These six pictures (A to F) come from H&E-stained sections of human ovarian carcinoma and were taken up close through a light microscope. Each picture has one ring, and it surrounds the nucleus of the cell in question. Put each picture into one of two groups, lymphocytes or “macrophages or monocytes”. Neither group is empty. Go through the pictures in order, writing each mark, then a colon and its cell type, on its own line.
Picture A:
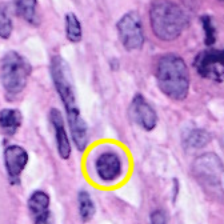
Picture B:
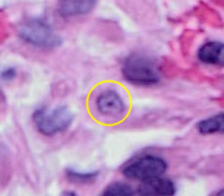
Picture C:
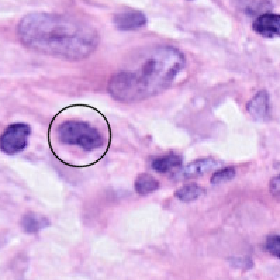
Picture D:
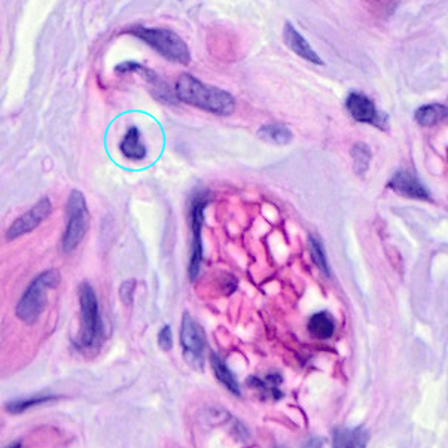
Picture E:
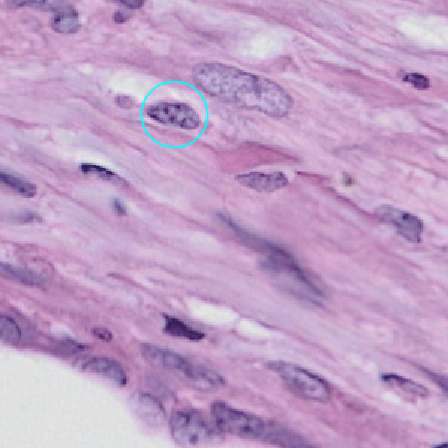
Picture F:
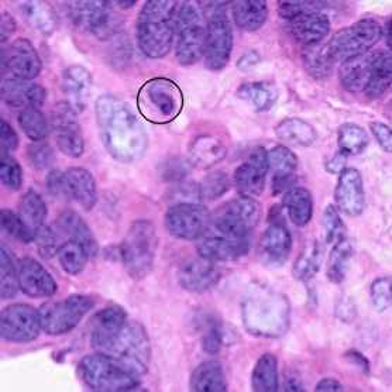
A: lymphocyte
B: macrophage or monocyte
C: macrophage or monocyte
D: lymphocyte
E: macrophage or monocyte
F: macrophage or monocyte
